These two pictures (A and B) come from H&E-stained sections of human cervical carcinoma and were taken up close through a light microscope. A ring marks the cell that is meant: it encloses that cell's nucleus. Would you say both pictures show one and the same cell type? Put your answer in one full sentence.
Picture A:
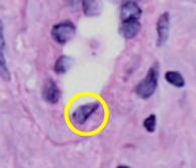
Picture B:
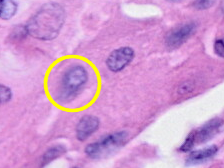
No, picture A shows an endothelial cell and picture B shows a squamous carcinoma cell.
